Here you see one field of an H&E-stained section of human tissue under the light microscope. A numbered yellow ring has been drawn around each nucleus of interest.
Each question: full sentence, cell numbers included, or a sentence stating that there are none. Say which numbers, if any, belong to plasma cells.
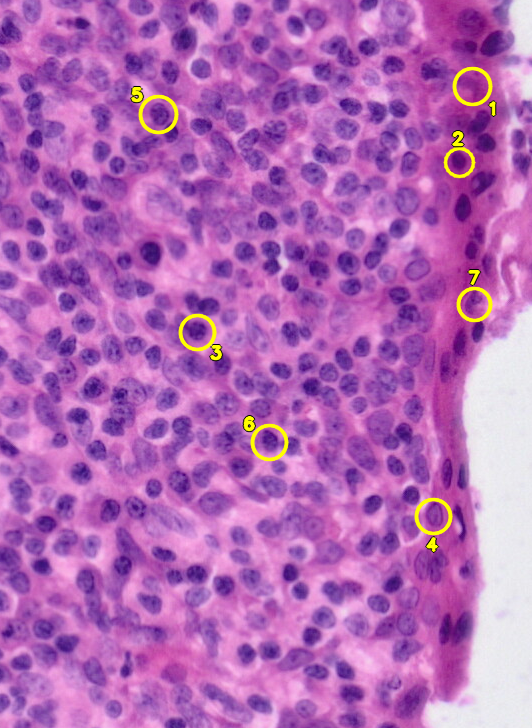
The cells that bear the numbers 3, 5 and 6 are plasma cells.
